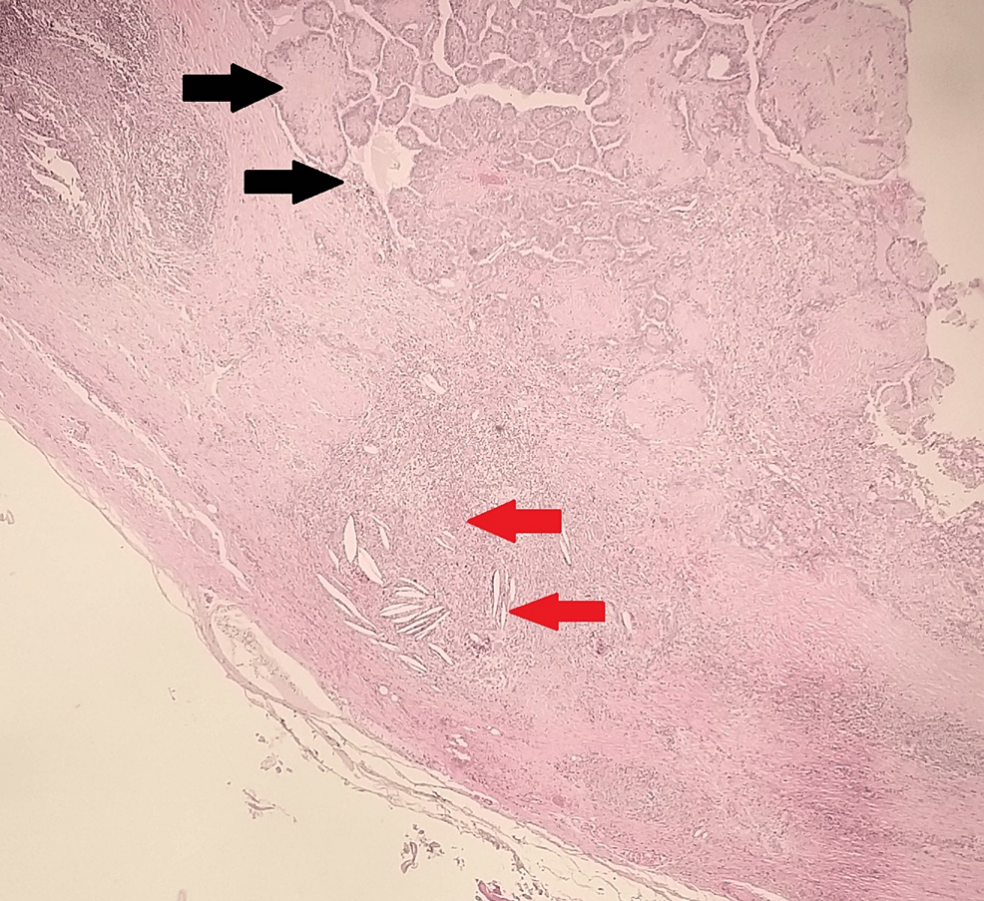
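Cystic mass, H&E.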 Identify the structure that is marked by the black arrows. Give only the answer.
Papillary configuration.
